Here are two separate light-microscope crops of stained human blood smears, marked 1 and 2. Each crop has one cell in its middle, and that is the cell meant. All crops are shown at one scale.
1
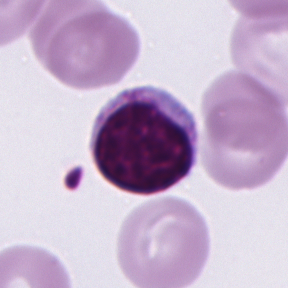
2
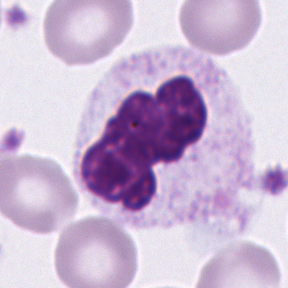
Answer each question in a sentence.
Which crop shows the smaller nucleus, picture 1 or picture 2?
It is the nucleus in picture 1; the one in picture 2 has about 1.5 times its area.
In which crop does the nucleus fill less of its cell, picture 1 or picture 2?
Of the two, the nucleus in picture 2 leaves more room for cytoplasm.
